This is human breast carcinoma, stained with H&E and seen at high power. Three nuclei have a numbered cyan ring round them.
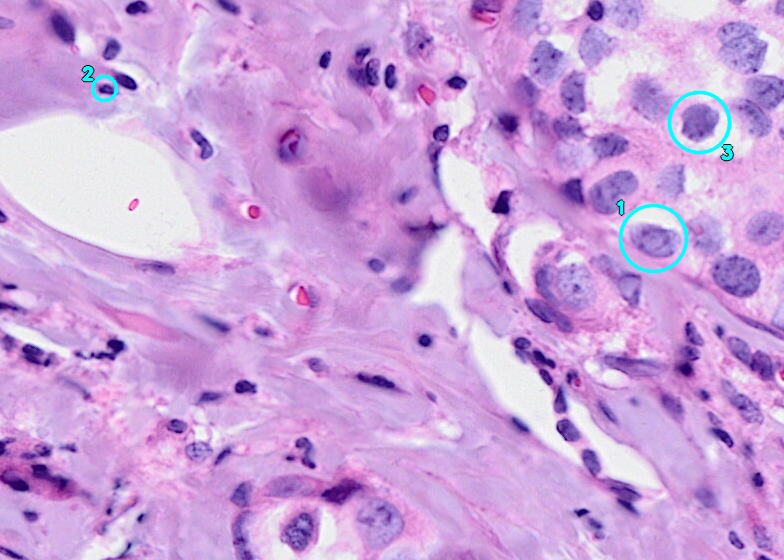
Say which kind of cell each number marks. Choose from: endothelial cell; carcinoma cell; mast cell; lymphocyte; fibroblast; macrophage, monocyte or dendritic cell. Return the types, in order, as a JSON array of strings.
["carcinoma cell", "lymphocyte", "carcinoma cell"]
